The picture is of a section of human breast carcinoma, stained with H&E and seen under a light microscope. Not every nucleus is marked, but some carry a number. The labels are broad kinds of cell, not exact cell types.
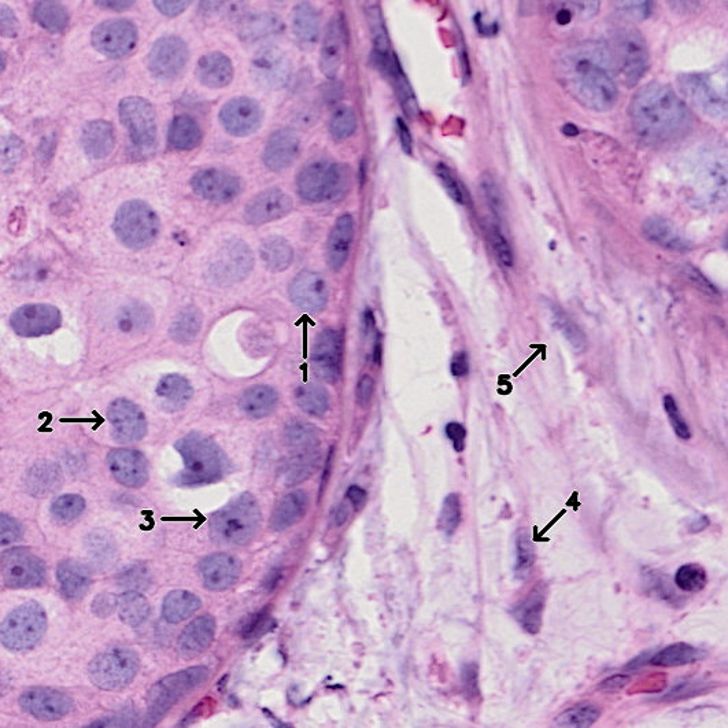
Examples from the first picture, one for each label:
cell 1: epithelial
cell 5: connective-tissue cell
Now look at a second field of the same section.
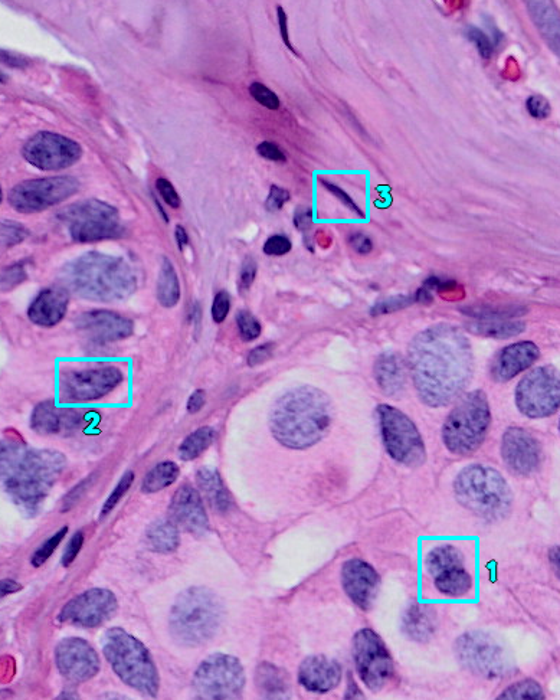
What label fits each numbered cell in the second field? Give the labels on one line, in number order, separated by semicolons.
epithelial; epithelial; connective-tissue cell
